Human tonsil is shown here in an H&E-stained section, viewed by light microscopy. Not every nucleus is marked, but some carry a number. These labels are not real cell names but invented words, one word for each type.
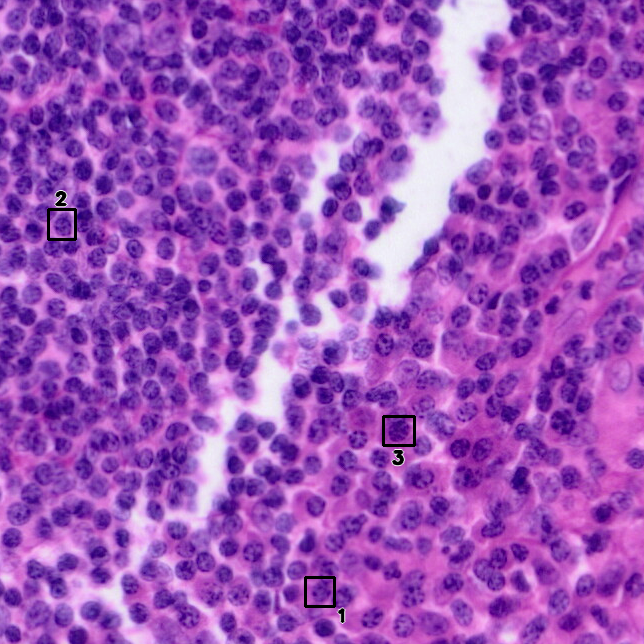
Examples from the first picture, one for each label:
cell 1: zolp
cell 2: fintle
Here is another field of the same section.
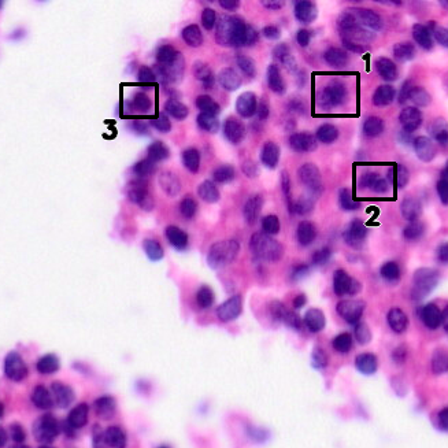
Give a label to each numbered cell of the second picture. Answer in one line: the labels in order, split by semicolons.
zolp; zolp; fintle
